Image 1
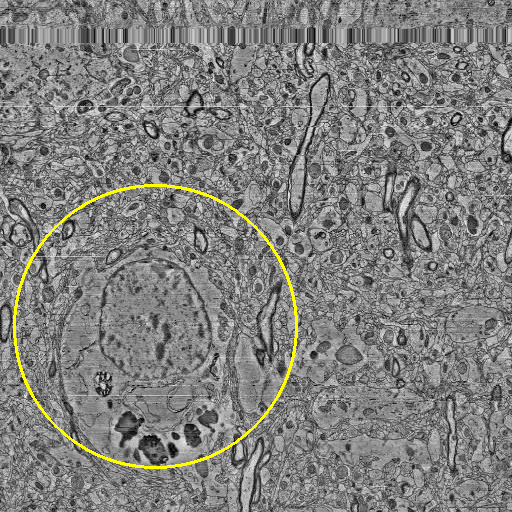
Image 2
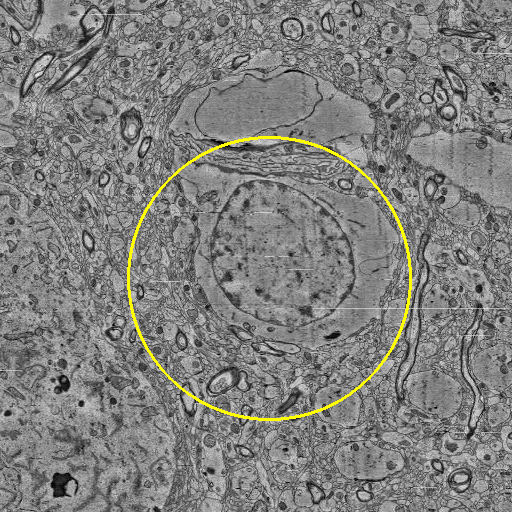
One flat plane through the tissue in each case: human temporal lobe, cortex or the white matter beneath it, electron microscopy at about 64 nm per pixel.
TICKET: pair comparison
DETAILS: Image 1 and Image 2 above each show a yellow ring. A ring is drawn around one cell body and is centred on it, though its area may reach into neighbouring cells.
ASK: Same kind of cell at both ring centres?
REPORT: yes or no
yes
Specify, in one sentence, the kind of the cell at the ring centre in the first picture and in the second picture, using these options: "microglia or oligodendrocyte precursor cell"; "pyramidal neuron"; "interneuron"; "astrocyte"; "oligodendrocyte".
The first and the second cell are each an astrocyte.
